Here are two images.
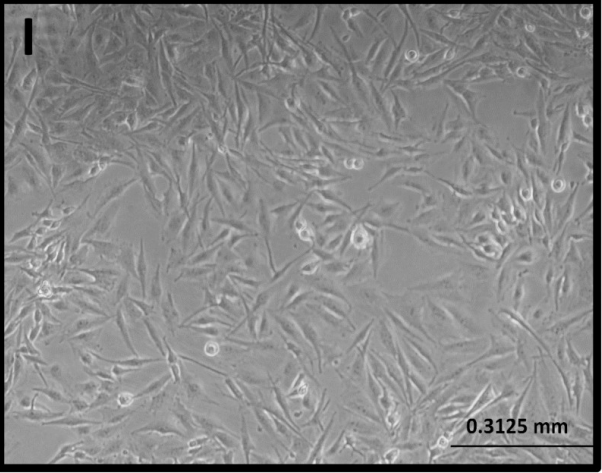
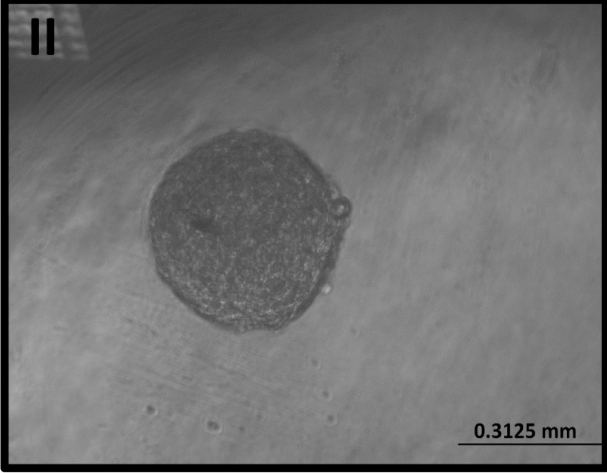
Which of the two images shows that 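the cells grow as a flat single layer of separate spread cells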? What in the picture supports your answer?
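Second image: one compact round aggregate with no separately spread cells. First image: many separate elongated and spindle-shaped cells spread flat across the whole field.
Conclusion: the first image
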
